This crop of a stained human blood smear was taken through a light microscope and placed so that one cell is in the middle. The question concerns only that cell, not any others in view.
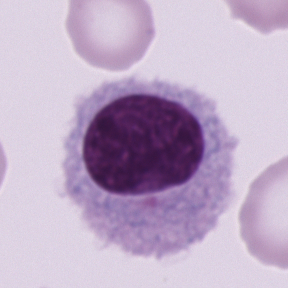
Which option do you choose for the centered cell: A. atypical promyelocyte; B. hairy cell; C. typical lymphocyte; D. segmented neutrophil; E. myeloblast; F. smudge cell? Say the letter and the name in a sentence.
At the centre of the crop lies a hairy cell, which makes option B correct.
